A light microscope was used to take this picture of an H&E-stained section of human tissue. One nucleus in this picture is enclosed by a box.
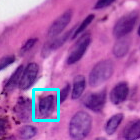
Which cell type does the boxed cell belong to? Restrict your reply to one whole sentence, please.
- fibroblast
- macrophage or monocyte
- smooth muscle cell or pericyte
In this section, the boxed cell is a macrophage or monocyte.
